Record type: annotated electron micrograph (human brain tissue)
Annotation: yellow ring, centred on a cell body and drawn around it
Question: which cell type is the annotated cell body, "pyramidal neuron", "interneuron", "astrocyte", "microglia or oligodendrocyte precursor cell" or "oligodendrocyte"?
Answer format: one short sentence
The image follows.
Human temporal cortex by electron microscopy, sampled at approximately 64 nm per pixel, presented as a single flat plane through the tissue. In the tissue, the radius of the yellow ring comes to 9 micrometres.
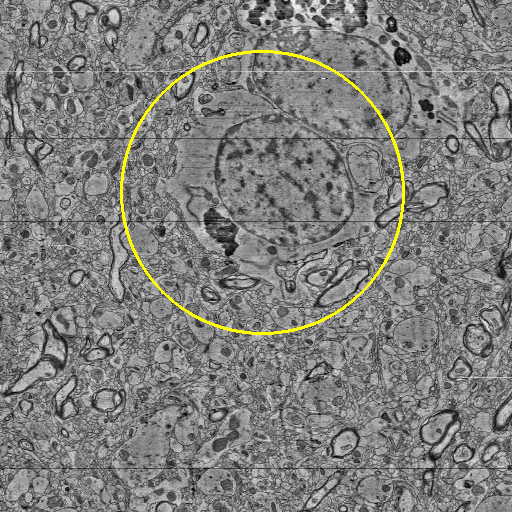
The annotated cell body is that of an astrocyte.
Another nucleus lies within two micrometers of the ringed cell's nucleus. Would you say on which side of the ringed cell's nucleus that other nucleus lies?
The other nucleus lies to the upper right of it.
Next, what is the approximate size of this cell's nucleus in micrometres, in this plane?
Approximately 10 micrometres long and 8 micrometres wide, in this plane.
